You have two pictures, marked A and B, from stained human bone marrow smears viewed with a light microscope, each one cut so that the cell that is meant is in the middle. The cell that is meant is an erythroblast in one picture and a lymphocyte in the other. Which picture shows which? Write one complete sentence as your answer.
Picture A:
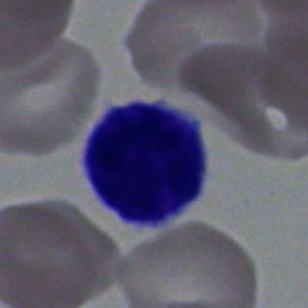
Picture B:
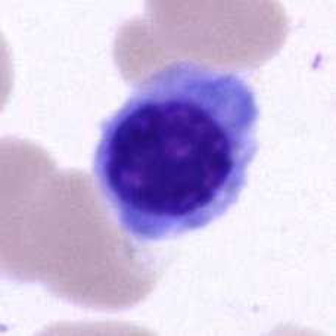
It is picture A that shows a lymphocyte, and picture B that shows an erythroblast.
